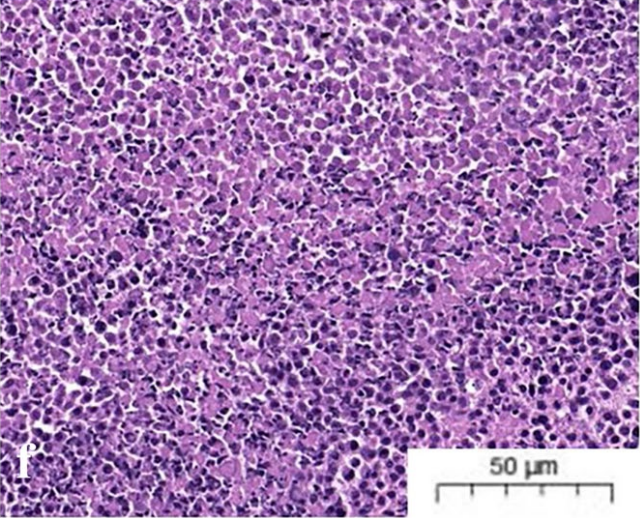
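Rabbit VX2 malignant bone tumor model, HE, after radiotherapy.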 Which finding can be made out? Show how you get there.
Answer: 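Cytoplasmic necrosis. Much of the field is taken up by bright pink, homogeneous cytoplasm. Many nuclei are small, dark and condensed. Cells lie more loosely with pale gaps between them.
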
